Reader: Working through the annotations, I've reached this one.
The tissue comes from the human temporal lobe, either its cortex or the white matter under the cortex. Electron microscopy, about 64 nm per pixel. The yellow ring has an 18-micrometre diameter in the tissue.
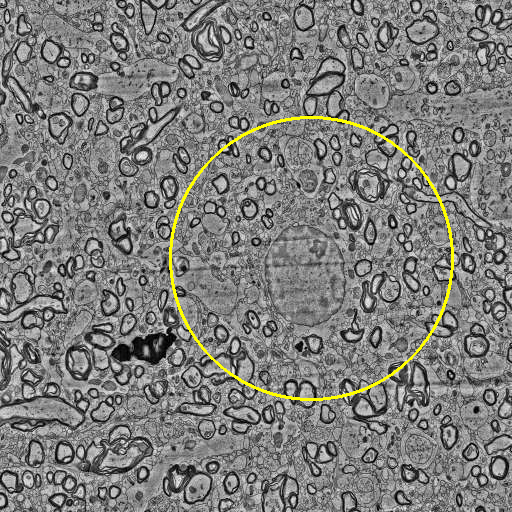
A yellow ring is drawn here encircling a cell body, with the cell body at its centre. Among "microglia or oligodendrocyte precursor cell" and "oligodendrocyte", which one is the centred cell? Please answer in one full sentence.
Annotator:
The cell body at the centre of the yellow ring in this image belongs to an oligodendrocyte.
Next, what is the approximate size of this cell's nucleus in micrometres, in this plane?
Roughly 7 by 5 micrometres is the size of the nucleus in this plane.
